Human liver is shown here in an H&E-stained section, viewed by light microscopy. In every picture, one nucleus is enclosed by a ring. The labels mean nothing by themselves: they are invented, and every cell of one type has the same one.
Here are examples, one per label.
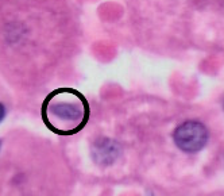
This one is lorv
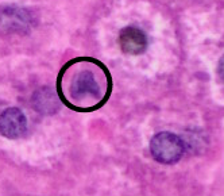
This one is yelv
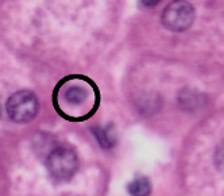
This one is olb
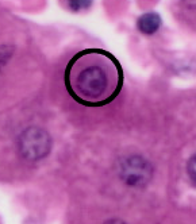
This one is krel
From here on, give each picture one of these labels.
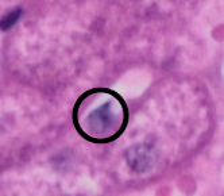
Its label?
yelv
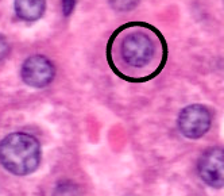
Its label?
krel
